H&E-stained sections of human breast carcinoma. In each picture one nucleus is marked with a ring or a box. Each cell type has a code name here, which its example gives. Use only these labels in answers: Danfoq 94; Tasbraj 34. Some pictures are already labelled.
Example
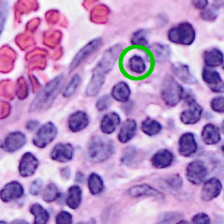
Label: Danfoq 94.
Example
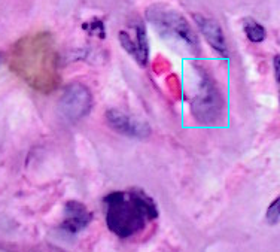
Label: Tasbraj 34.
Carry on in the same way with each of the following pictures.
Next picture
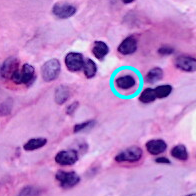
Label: Danfoq 94.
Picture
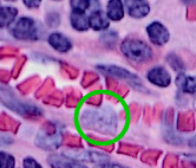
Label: Tasbraj 34.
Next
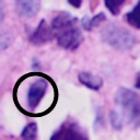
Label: Danfoq 94.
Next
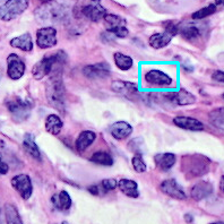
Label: Danfoq 94.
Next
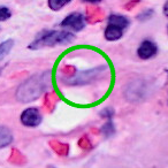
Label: Tasbraj 34.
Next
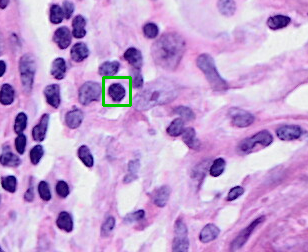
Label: Danfoq 94.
